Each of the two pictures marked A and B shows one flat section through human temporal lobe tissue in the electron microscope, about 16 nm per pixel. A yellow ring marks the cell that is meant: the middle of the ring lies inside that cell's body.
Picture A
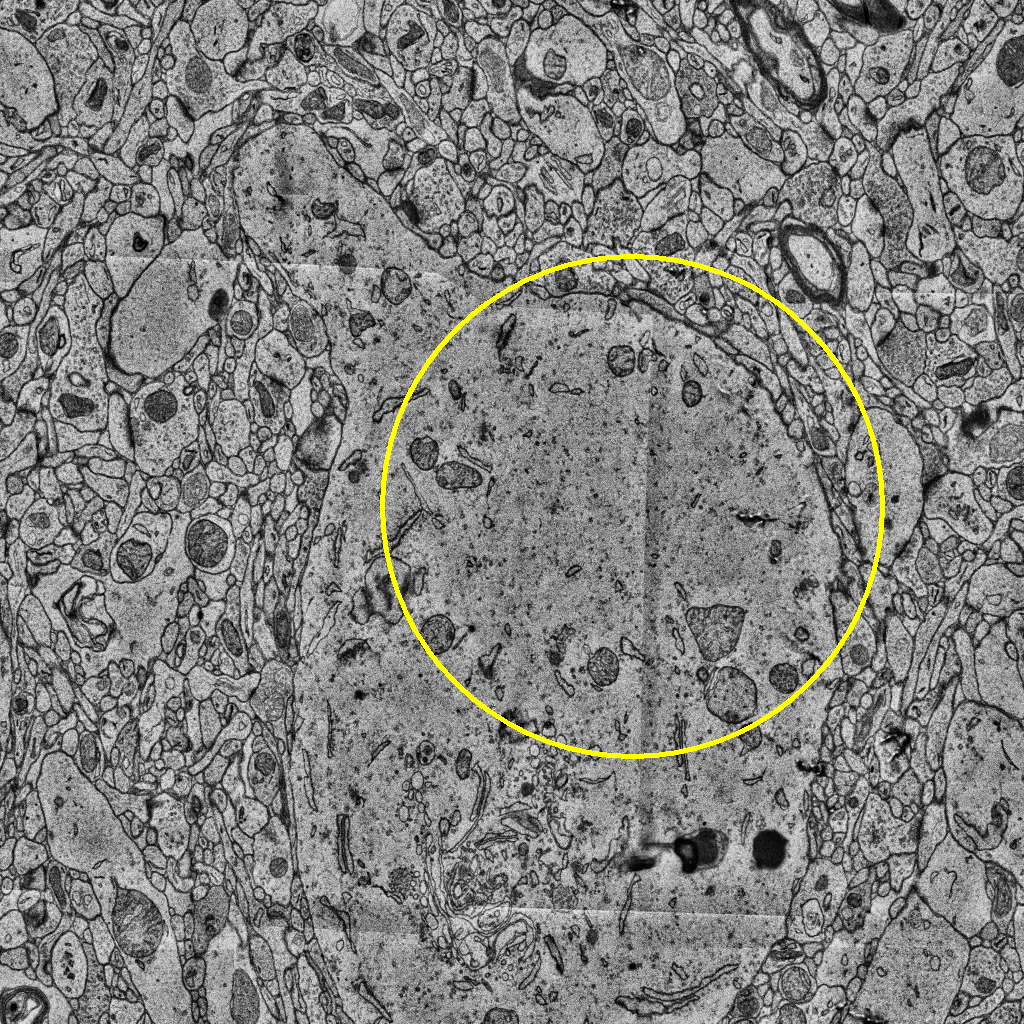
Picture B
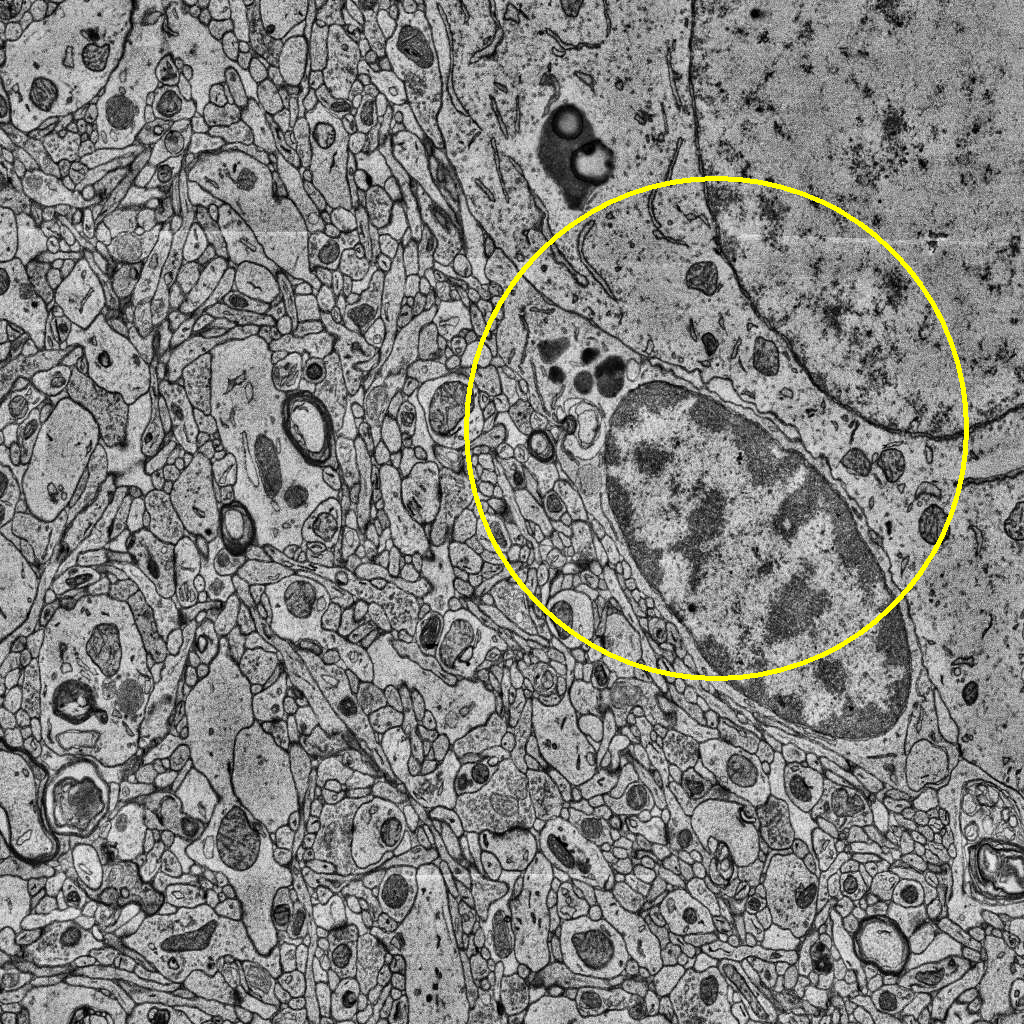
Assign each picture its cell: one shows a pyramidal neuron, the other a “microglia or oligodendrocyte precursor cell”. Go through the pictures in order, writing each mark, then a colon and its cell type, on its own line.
A: pyramidal neuron
B: microglia or oligodendrocyte precursor cell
